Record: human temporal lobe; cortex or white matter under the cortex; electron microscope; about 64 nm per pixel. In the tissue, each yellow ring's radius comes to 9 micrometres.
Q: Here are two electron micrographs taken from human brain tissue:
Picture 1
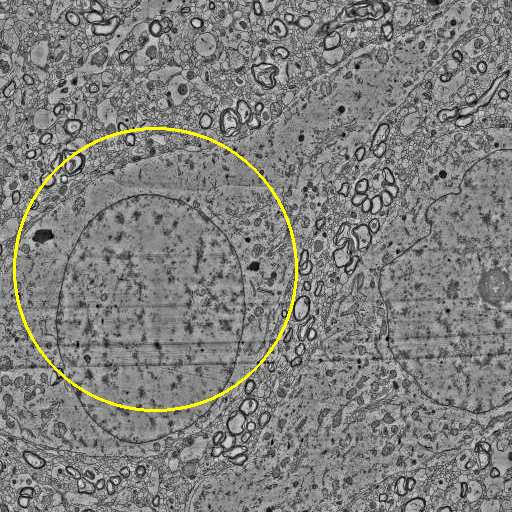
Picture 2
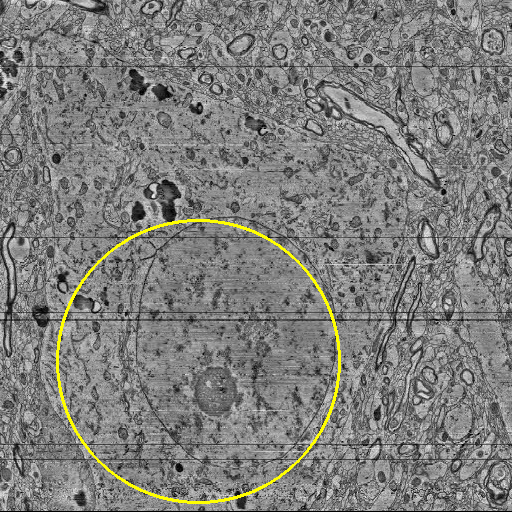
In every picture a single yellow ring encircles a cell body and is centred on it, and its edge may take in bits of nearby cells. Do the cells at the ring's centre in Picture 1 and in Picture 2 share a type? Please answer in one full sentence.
Yes, the cells at the ring's centre in Picture 1 and Picture 2 share a type.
